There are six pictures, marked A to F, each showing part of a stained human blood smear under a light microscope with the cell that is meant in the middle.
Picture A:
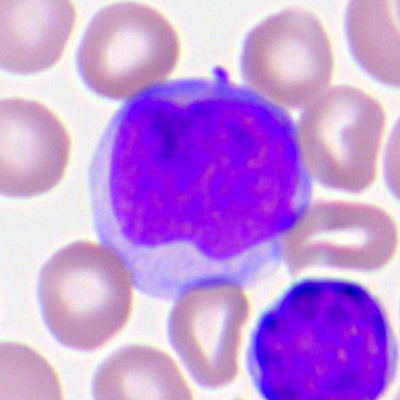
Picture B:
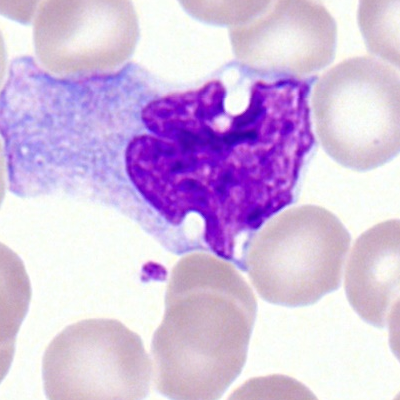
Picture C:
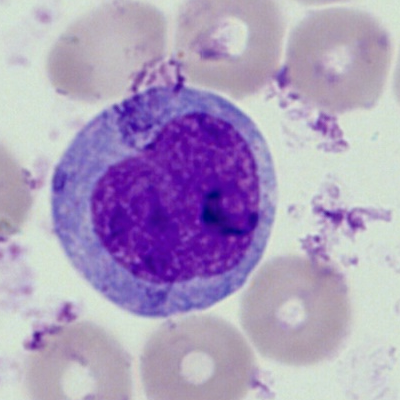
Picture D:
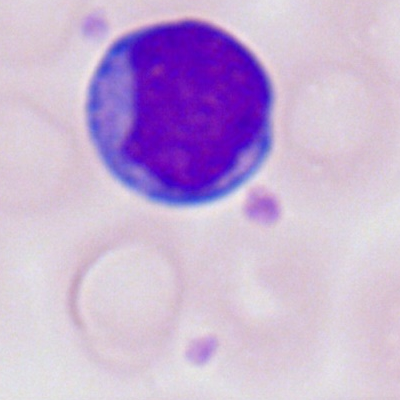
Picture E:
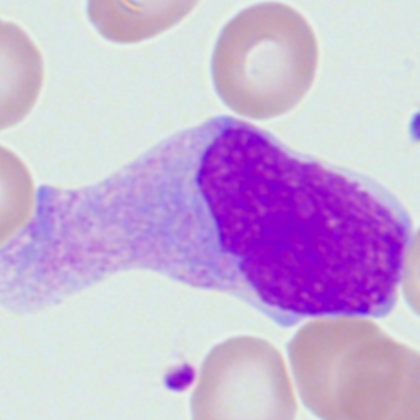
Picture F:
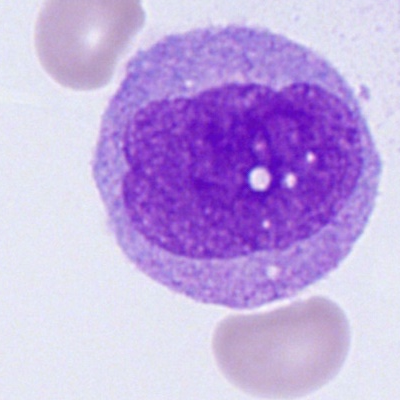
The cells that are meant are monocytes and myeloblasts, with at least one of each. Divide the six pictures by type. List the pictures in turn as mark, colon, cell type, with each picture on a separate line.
A: myeloblast
B: monocyte
C: myeloblast
D: myeloblast
E: monocyte
F: myeloblast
